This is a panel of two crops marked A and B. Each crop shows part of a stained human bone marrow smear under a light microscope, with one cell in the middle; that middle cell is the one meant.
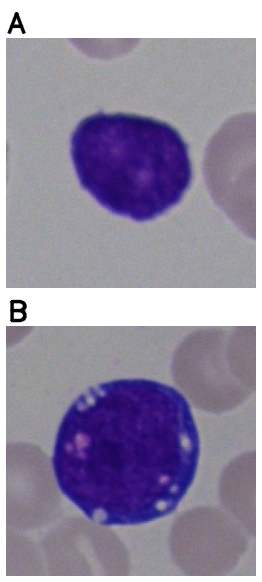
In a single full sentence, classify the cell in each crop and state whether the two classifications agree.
Yes, blasts lie at the centre of both crops.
